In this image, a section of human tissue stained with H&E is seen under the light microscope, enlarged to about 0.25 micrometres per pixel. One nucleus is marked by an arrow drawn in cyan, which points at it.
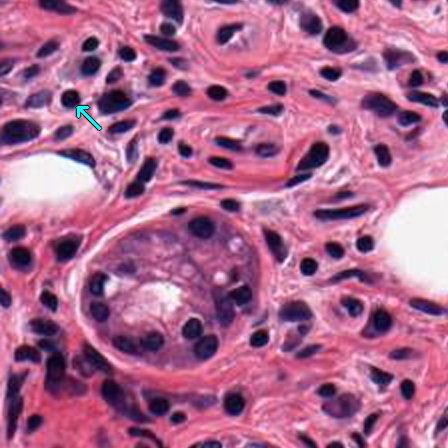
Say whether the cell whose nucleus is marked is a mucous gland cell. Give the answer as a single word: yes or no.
no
